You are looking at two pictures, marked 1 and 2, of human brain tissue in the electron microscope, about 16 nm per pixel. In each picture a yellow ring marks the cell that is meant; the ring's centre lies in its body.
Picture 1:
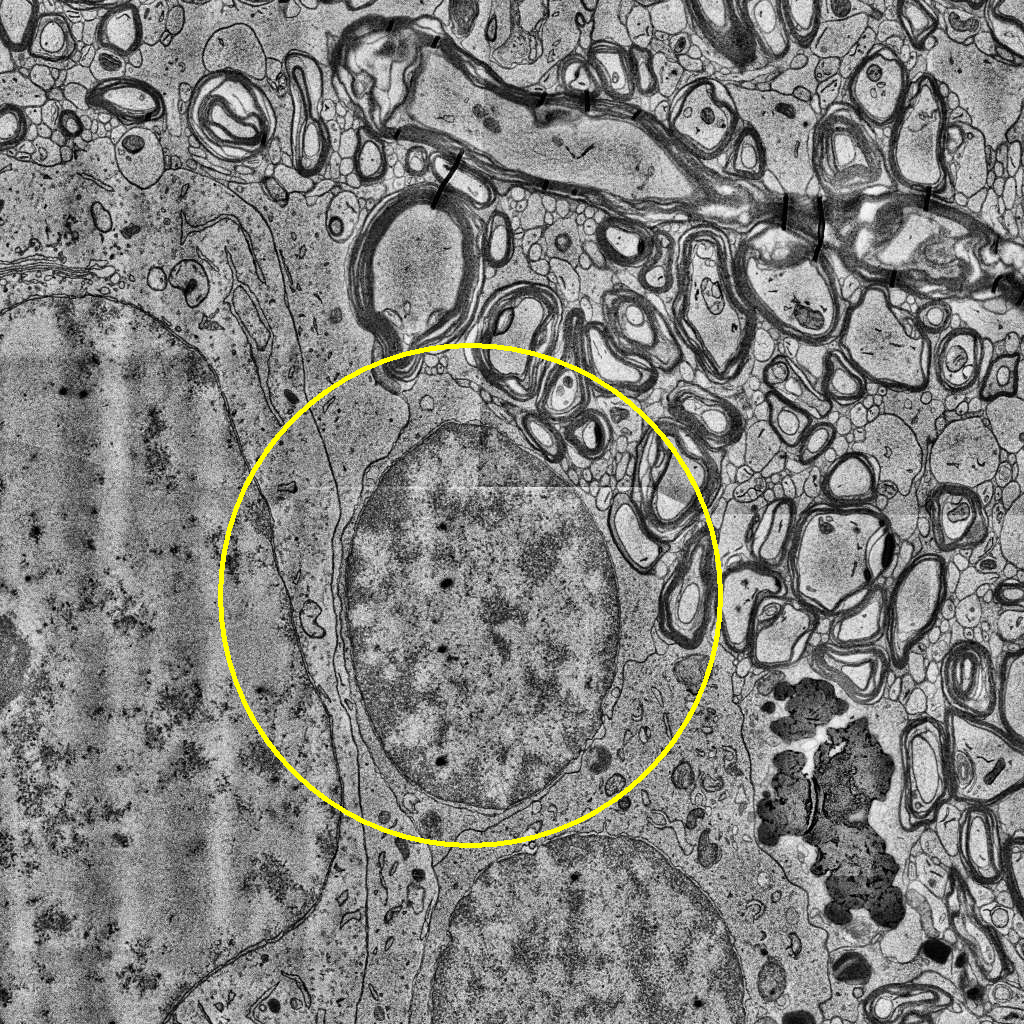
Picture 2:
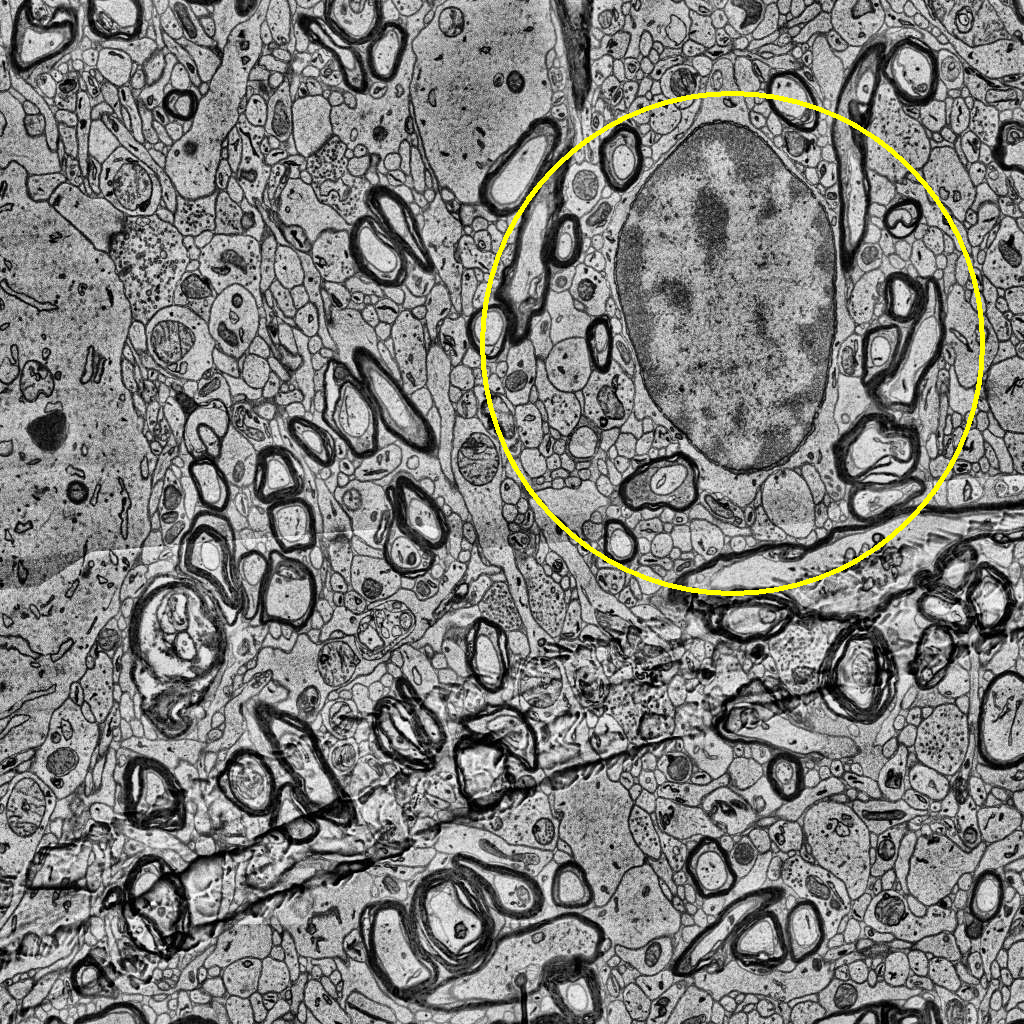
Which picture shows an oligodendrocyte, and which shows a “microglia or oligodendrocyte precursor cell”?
Picture 1 is of an oligodendrocyte, and picture 2 is of a “microglia or oligodendrocyte precursor cell”.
